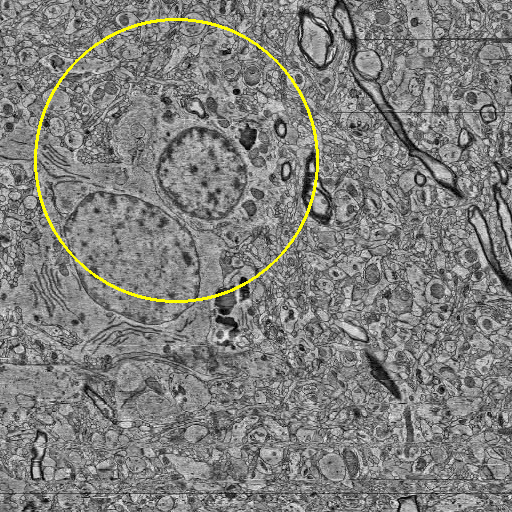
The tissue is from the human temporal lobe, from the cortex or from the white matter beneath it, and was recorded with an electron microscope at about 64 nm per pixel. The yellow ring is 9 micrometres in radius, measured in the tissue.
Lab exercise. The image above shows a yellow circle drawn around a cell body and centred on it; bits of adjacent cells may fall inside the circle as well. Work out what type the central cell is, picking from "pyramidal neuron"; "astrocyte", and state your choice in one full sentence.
In the image above, the cell at the centre of the yellow circle is an astrocyte.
